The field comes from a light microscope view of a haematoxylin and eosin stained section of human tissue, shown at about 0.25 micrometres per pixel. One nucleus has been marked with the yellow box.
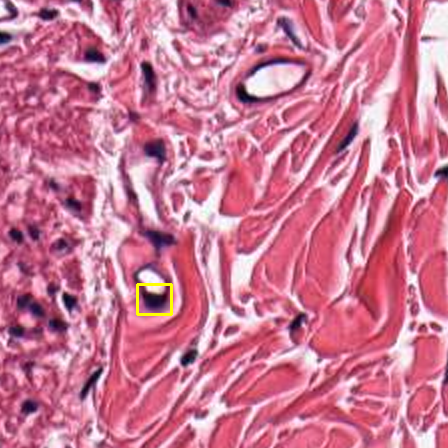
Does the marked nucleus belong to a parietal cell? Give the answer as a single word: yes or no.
no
